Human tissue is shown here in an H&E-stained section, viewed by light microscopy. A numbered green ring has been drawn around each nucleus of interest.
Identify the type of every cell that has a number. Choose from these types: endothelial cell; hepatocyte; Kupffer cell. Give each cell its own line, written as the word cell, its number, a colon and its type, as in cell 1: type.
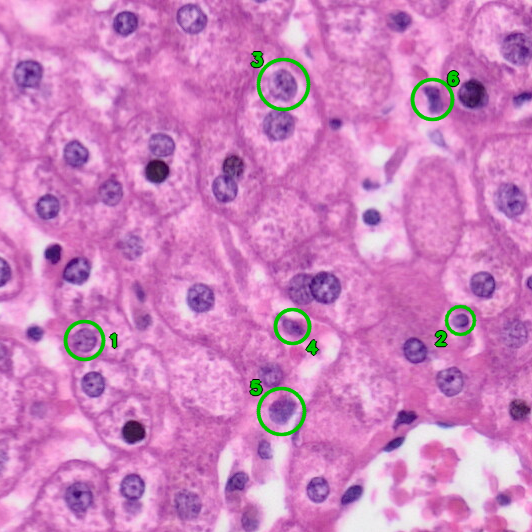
cell 1: hepatocyte
cell 2: Kupffer cell
cell 3: hepatocyte
cell 4: Kupffer cell
cell 5: endothelial cell
cell 6: endothelial cell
